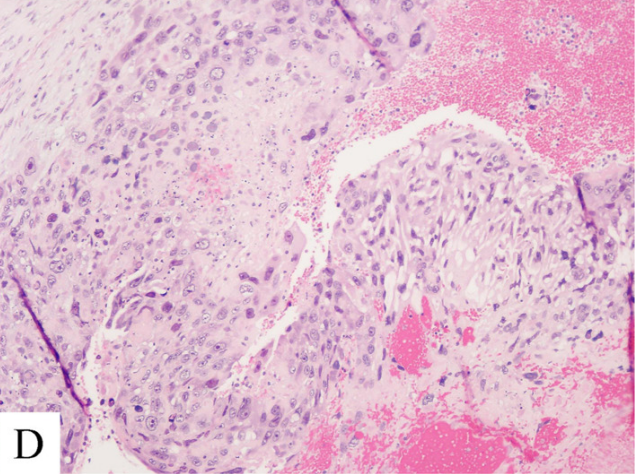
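This is a choriocarcinoma in which polygonal cytotrophoblasts are mixed with multinucleated syncytiotrophoblasts in a hemorrhagic background. The polygonal cells form cohesive sheets and have pale to pink cytoplasm and large vesicular nuclei with visible nucleoli. Larger cells with several dark nuclei lie among them. Broad areas of red blood cells border the tumor sheets, and clefts separate the sheets from this blood.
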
